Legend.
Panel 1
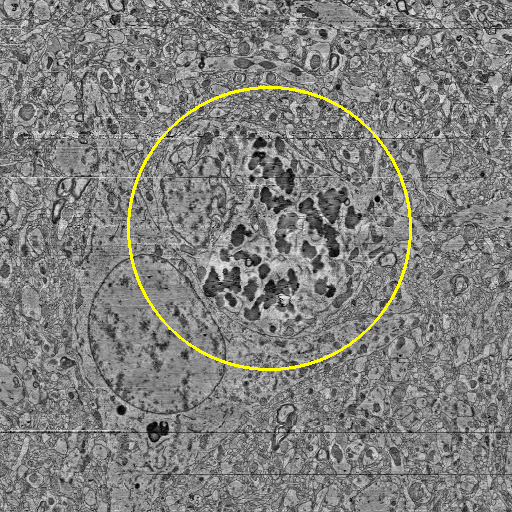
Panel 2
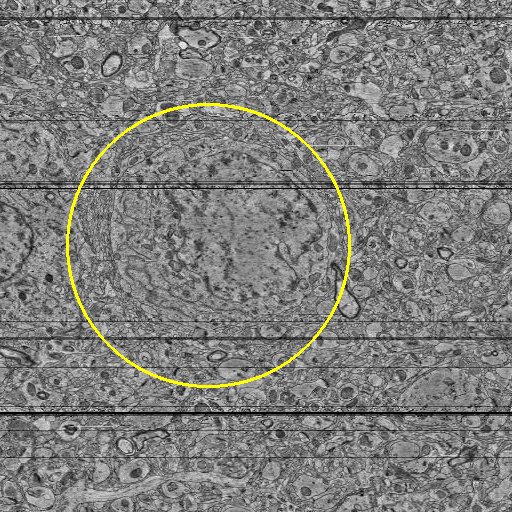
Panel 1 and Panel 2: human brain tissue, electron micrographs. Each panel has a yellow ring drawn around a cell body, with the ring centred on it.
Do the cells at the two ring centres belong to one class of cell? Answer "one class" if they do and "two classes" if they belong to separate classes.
one class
